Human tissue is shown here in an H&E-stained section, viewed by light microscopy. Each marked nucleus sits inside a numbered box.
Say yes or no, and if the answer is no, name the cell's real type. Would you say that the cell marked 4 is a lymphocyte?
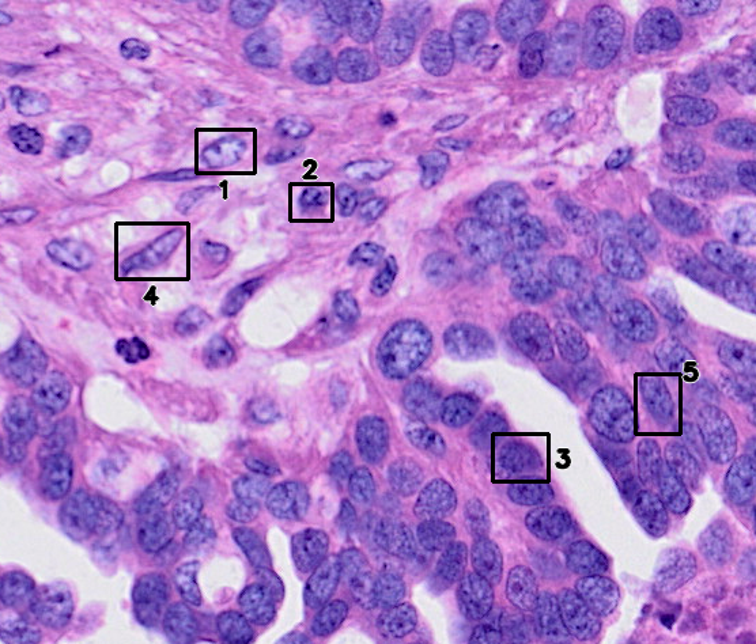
No, it is a fibroblast.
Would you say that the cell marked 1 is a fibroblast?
Yes.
